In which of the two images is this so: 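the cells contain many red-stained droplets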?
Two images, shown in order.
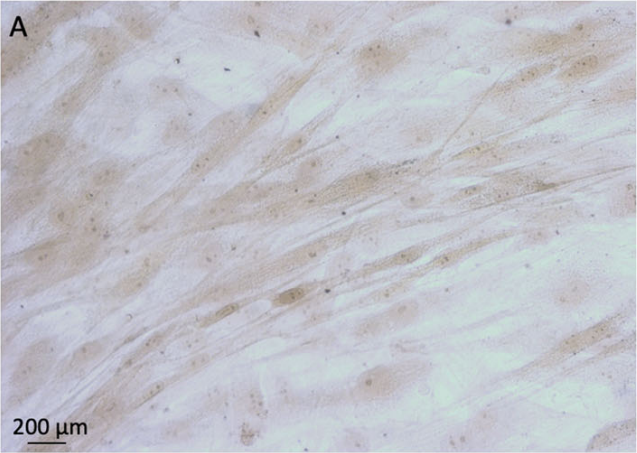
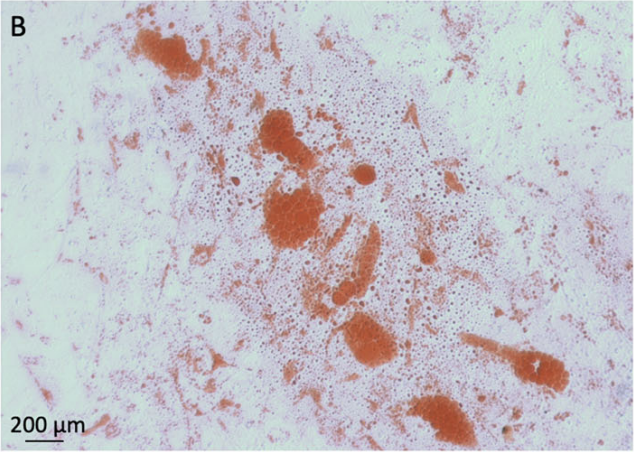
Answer: The second image.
